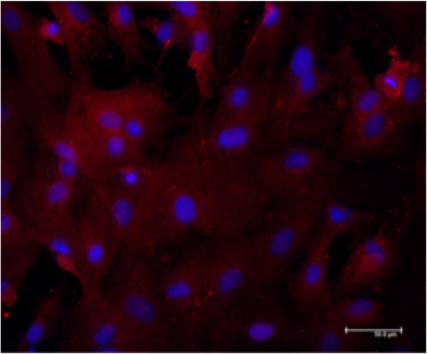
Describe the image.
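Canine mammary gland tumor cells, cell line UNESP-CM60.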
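A diffuse, finely granular red fluorescence fills the cytoplasm of most cells and outlines their irregular bodies and short extensions, while the nuclei stay blue. The cells lie close together with dark gaps between some of them, and a few small bright red dots are scattered over the field.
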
